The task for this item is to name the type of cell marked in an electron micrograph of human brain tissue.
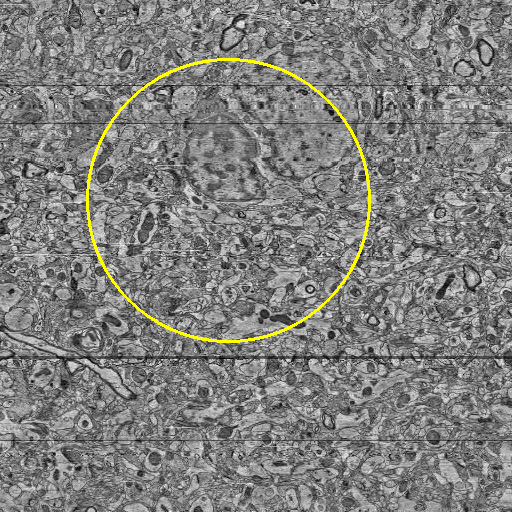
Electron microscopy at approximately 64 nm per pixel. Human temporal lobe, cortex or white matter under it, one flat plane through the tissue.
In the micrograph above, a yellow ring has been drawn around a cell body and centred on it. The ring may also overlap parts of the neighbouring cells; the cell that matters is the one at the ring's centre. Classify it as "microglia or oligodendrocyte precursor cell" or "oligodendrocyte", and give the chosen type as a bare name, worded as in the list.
oligodendrocyte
